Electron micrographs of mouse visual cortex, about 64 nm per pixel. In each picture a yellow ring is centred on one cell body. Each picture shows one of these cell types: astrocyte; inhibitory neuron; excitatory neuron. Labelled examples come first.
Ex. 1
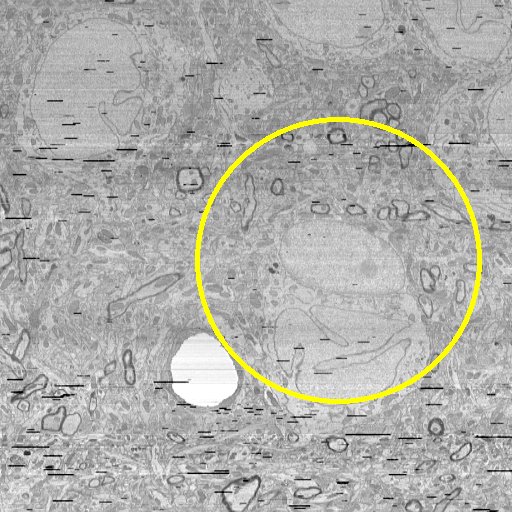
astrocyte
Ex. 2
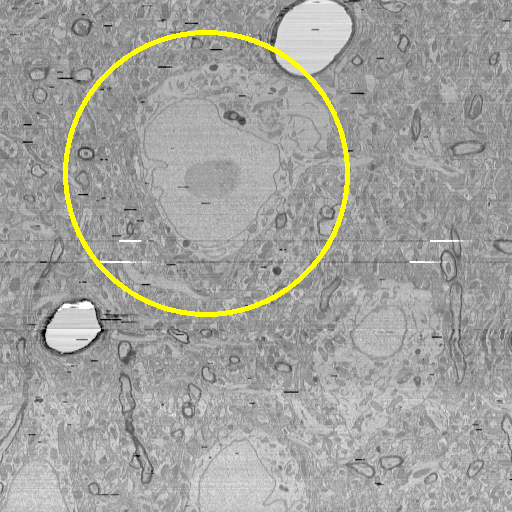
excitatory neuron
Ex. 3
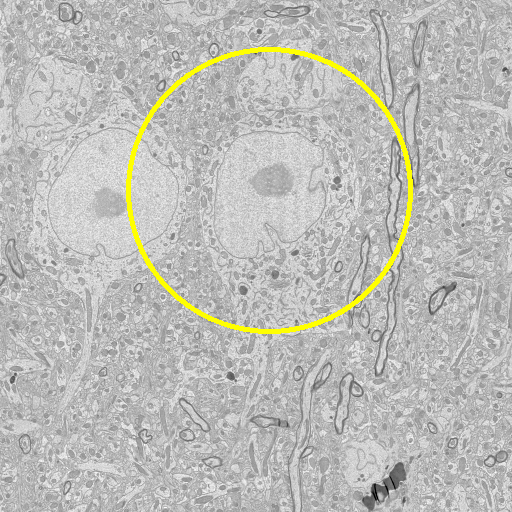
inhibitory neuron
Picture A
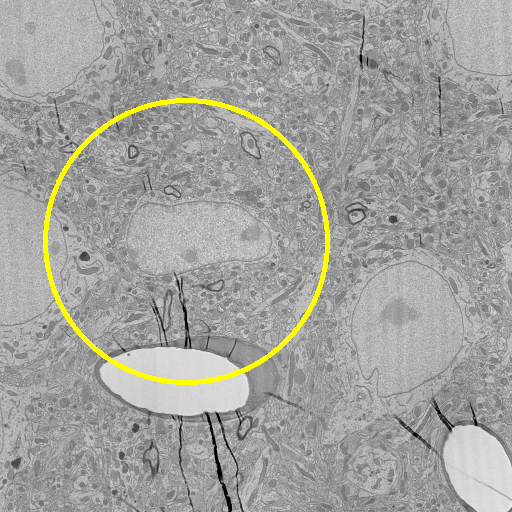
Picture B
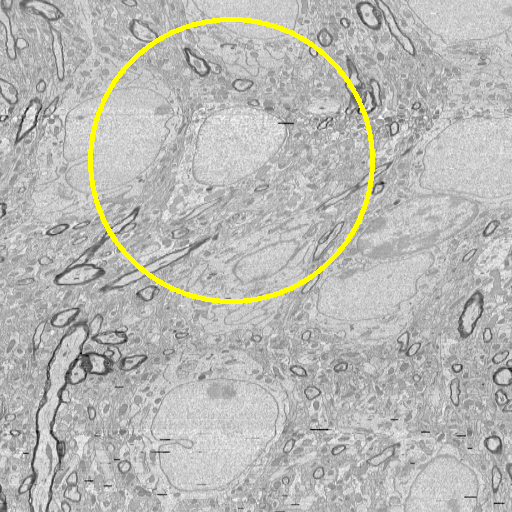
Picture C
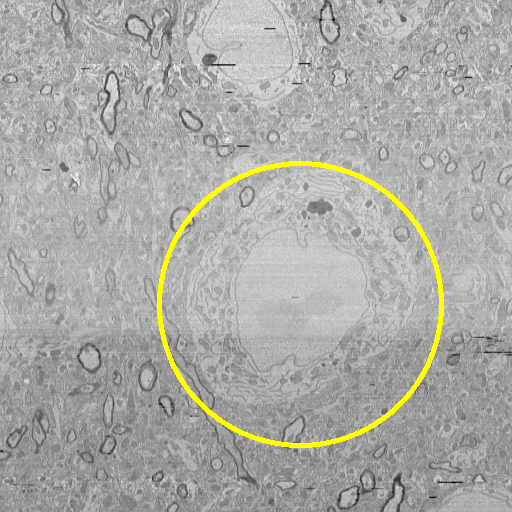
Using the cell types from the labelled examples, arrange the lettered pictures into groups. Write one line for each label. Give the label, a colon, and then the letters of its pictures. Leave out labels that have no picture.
astrocyte: A, B
inhibitory neuron: C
